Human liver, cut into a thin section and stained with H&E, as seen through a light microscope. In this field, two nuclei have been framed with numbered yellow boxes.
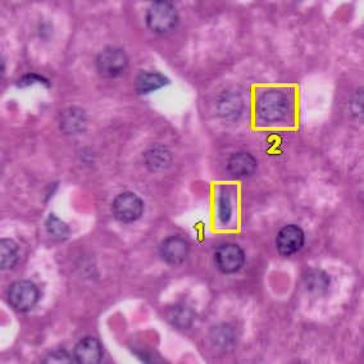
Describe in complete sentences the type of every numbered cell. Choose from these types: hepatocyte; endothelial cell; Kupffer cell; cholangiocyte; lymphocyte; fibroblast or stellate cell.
Cell 1 is an endothelial cell. Cell 2 is a hepatocyte.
